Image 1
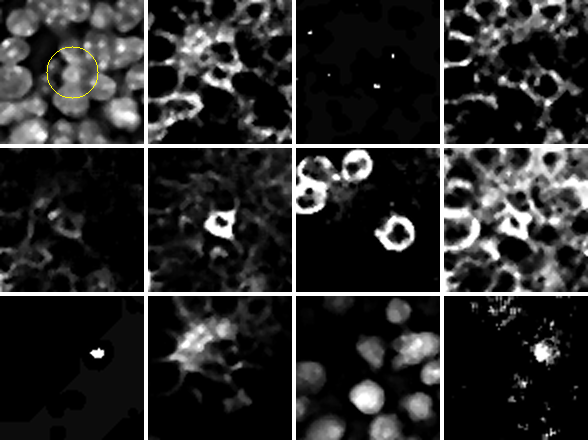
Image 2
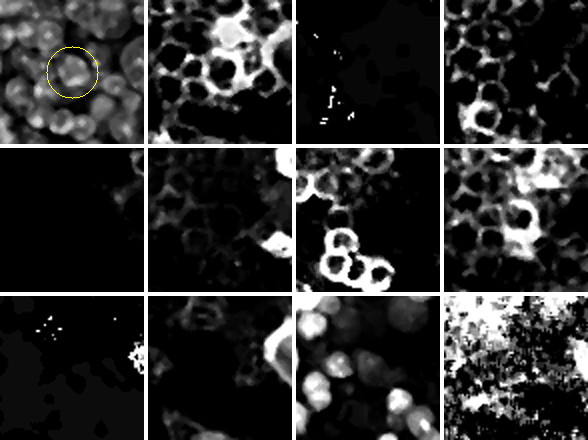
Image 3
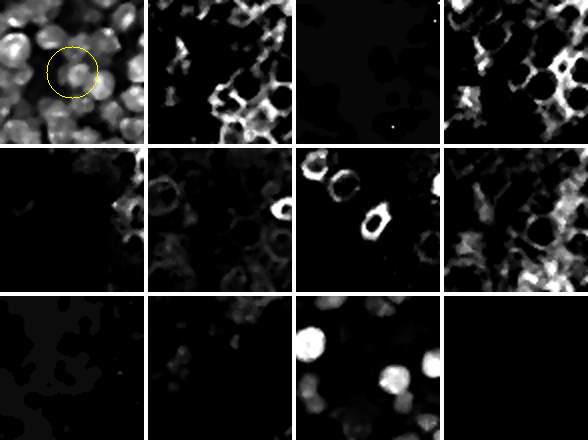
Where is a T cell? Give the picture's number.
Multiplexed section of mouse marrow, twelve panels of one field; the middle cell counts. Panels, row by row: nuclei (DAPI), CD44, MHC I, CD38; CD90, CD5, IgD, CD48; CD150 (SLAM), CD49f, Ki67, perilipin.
1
